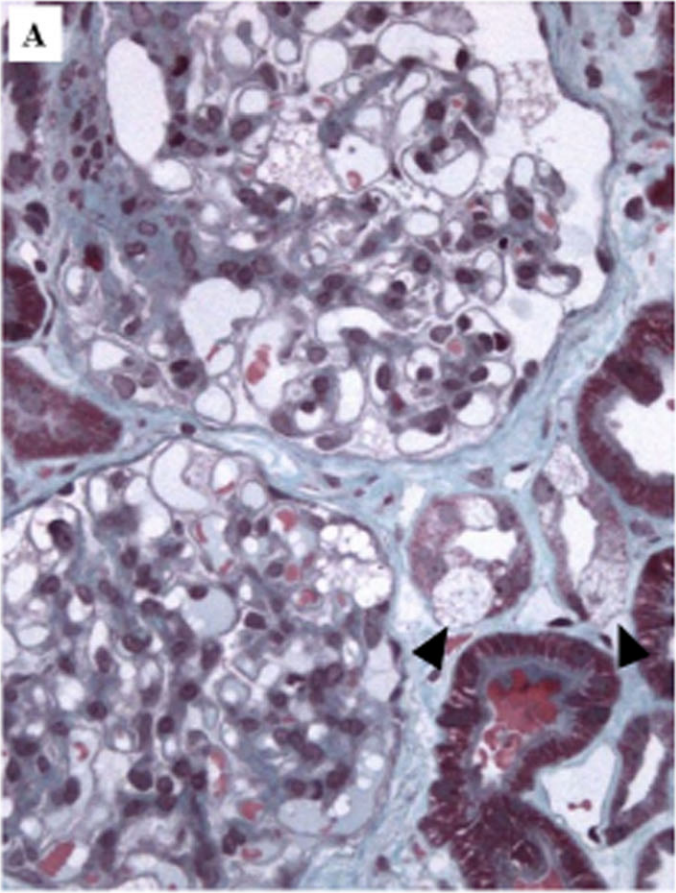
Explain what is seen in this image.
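Two glomeruli of the kidney are shown, in which the podocytes covering the capillary loops are enlarged and have pale, bubbly cytoplasm. The capillary loops are open, and some contain red blood cells. Blue-green connective tissue of the interstitium separates the glomeruli from the surrounding tubules.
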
